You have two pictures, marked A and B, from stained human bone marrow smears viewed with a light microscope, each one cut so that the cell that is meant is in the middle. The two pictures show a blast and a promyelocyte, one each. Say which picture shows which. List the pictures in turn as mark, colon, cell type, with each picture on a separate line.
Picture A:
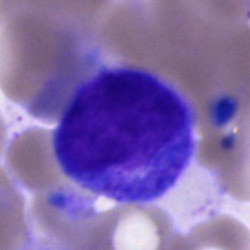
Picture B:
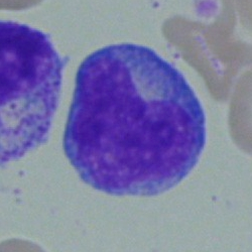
A: promyelocyte
B: blast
